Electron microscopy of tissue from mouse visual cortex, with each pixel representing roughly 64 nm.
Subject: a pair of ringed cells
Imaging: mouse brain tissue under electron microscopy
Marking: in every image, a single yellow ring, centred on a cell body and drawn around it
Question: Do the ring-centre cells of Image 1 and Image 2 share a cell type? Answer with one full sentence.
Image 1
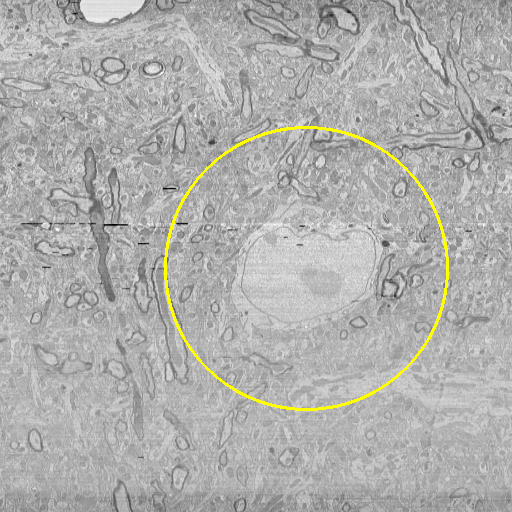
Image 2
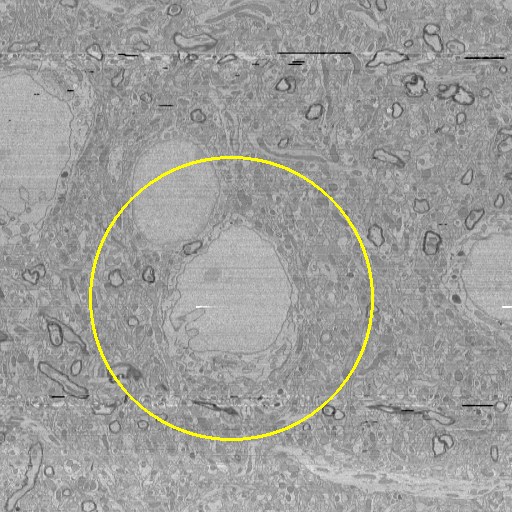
Yes, at each ring's centre in the images sits a cell of one common type.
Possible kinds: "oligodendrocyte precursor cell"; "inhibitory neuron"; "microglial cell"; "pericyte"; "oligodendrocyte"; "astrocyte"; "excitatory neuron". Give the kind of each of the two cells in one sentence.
The cell at the ring centre is an excitatory neuron in both pictures.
